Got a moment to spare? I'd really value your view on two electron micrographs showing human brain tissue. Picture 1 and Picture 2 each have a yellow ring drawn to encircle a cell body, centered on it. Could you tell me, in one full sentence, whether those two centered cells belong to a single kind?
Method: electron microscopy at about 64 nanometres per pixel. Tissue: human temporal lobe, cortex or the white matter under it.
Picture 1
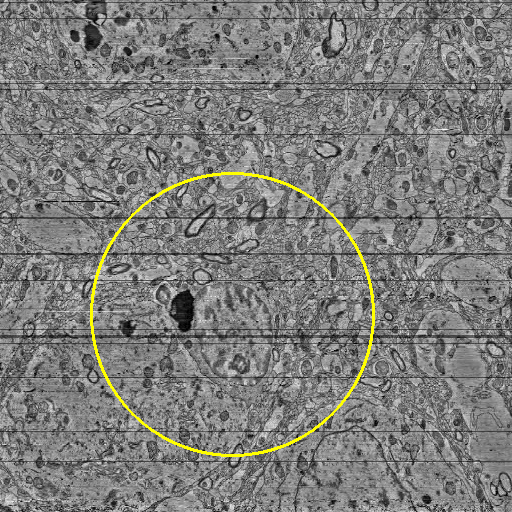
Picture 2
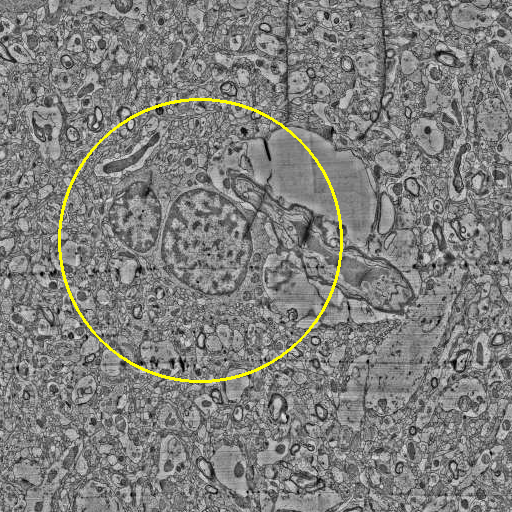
Yes, the two centered cells in Picture 1 and Picture 2 are of a single kind.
